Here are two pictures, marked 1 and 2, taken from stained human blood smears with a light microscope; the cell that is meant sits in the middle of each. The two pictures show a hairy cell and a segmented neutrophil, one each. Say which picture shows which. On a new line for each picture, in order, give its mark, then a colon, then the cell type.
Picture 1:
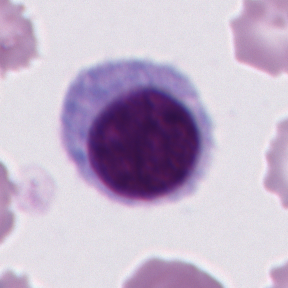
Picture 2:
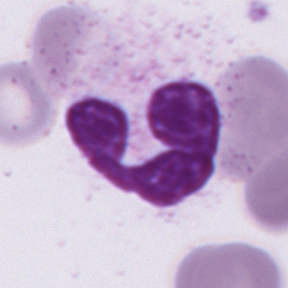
1: hairy cell
2: segmented neutrophil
